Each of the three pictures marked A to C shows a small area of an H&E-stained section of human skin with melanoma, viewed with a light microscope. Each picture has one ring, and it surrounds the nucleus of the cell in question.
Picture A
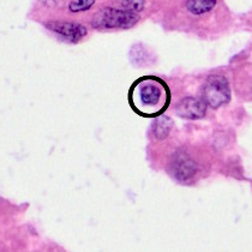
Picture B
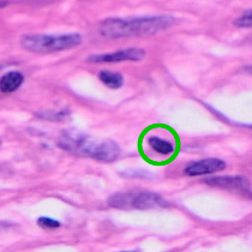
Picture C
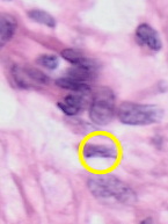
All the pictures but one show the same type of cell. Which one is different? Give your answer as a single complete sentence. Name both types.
The different one is picture C; it shows a “fibroblast or myofibroblast”, whereas all the others show lymphocytes.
